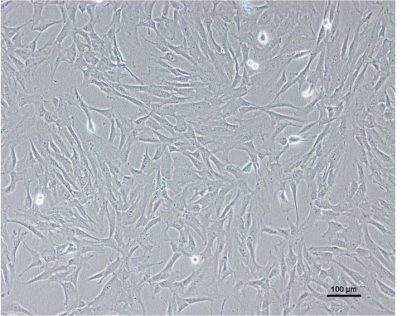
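A dense, nearly confluent layer of adherent cells with fibroblast-like form is seen. The cells are long and slender with tapering ends and lie side by side in roughly parallel streams and whorls. A few round, refractile cells sit on top of the layer.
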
